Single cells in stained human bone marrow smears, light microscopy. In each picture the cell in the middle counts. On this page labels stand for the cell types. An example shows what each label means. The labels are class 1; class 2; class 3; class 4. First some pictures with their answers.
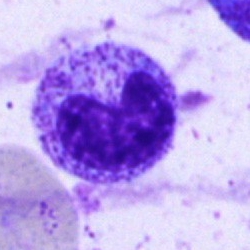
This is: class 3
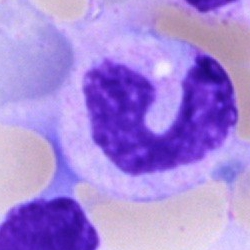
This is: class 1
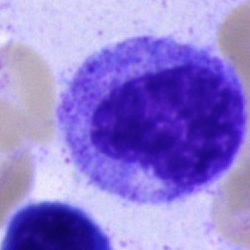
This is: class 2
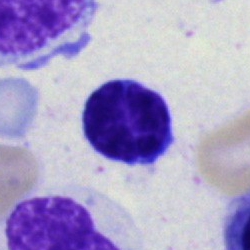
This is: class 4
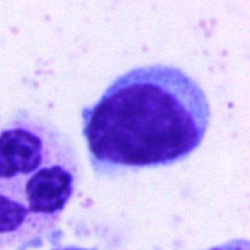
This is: class 4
